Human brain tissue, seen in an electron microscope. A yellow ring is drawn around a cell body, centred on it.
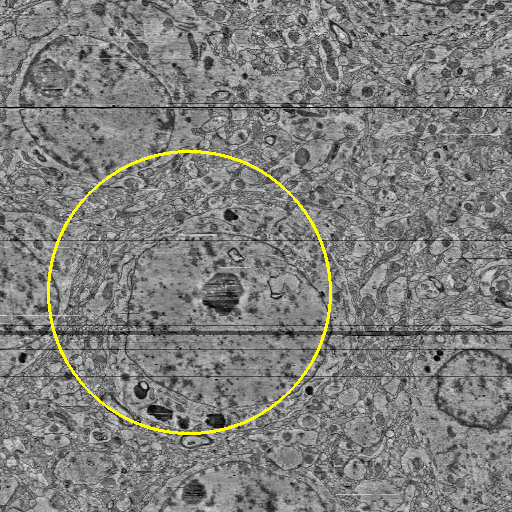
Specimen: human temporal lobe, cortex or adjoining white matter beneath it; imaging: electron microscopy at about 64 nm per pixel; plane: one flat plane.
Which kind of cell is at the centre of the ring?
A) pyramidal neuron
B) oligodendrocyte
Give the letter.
A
